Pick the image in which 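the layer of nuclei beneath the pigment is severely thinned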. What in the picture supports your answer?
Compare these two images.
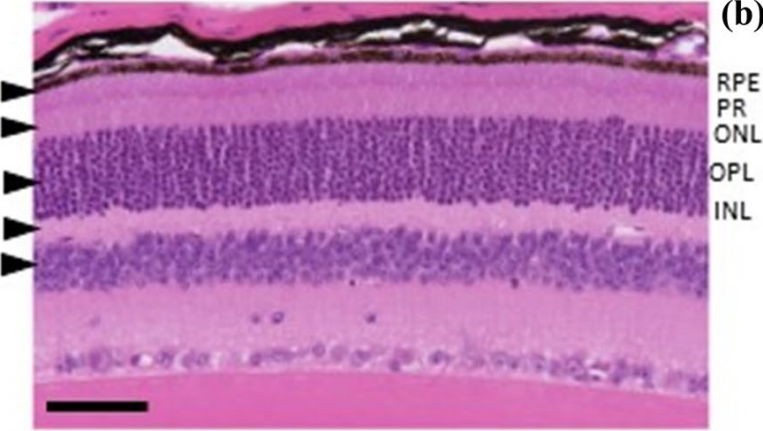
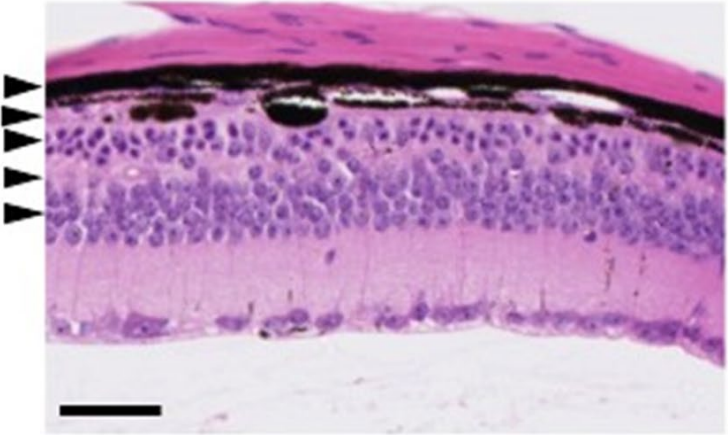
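Second image: only a few rows of nuclei lie under the pigmented layer. First image: a thick band of many rows of small dark nuclei lies under a pale pink band. The answer: the second image.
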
